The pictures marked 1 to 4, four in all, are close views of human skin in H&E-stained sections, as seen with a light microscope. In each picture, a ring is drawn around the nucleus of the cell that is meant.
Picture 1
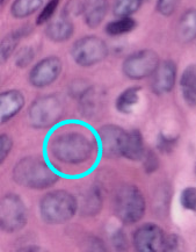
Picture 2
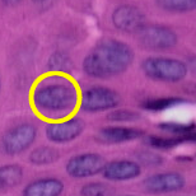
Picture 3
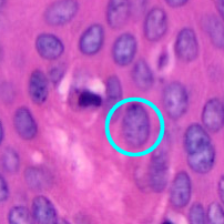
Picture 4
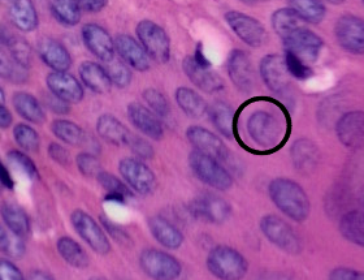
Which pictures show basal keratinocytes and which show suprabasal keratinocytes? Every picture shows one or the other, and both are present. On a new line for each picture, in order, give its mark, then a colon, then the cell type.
1: suprabasal keratinocyte
2: suprabasal keratinocyte
3: basal keratinocyte
4: suprabasal keratinocyte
